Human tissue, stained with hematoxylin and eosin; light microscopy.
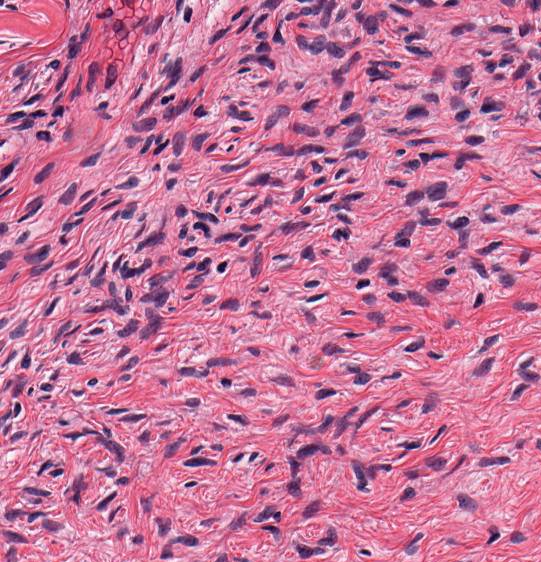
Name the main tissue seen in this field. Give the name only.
ovarian cortex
